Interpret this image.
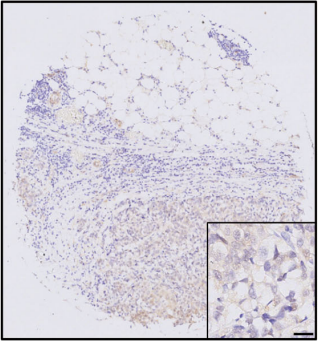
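A round tissue core shows pale, empty-looking fatty tissue in its upper part. A band of stroma crosses the middle of the core and is crowded with small, dark blue nuclei. Groups of tumour cells lie in the lower part and carry only faint, patchy brown staining. In the magnified inset, the tumour cells are loosely arranged. They have blue, irregular nuclei, and their cytoplasm is pale or clear with thin brownish rims. Overall, the core is dominated by blue counterstain rather than brown.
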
